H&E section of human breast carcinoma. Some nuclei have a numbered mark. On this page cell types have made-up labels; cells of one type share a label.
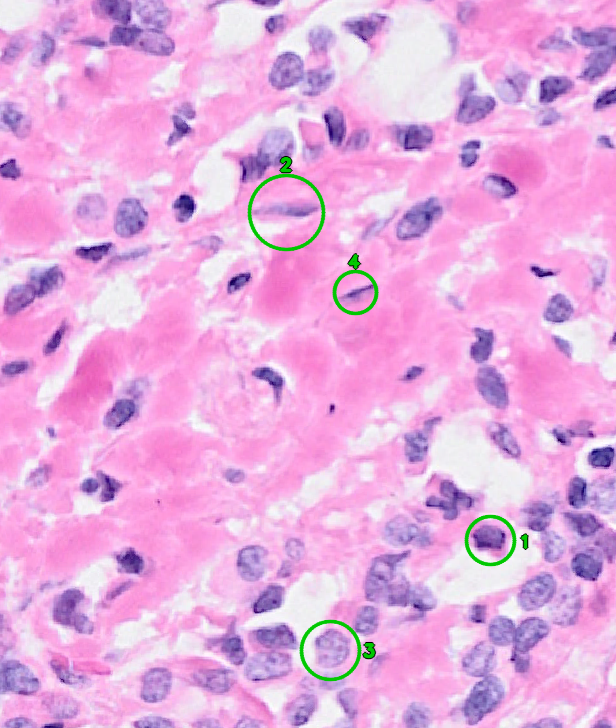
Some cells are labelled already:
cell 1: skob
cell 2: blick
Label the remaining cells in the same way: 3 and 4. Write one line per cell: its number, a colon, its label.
3: skob
4: blick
